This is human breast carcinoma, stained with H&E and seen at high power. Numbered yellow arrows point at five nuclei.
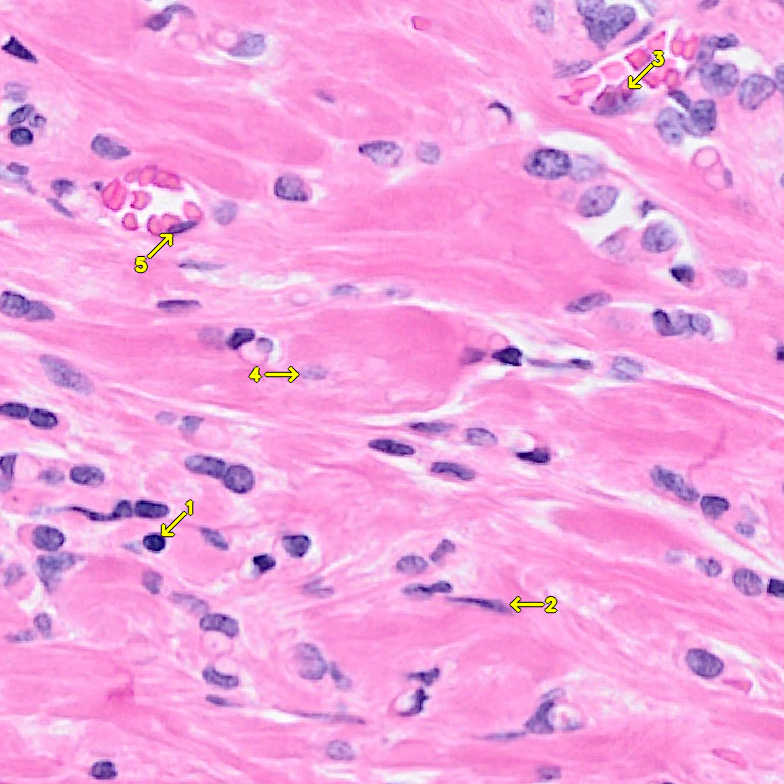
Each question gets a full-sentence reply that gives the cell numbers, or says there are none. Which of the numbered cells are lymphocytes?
Cell 1 is a lymphocyte; the remaining numbered cells are not.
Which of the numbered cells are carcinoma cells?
The numbered cells, taken together, include no carcinoma cells.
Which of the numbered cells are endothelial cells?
In this section, the cells labelled 3 and 5 are endothelial cells.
